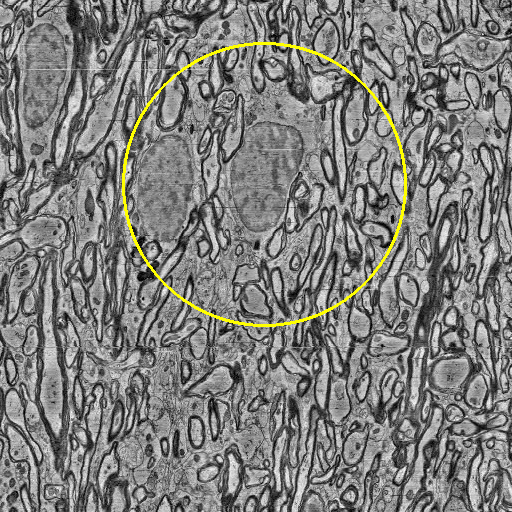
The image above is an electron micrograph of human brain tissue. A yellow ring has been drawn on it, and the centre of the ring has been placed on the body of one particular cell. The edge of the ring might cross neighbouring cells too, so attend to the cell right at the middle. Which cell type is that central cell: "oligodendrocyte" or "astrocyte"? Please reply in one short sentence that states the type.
The central cell in the ring is an oligodendrocyte.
